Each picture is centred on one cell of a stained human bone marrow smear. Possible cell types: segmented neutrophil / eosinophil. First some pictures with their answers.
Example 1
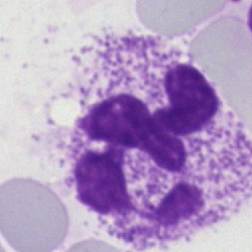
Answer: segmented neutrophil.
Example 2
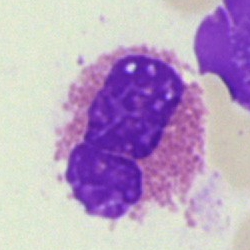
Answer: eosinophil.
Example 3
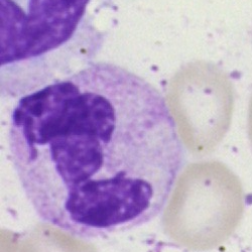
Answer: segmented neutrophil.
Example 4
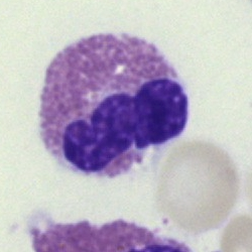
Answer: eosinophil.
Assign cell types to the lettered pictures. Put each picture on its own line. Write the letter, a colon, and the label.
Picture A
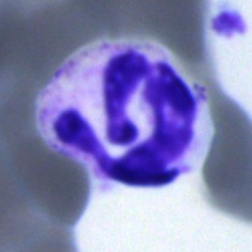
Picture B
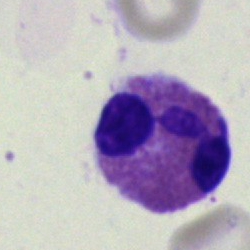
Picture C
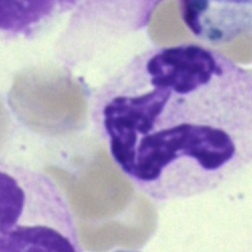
A: segmented neutrophil.
B: eosinophil.
C: segmented neutrophil.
